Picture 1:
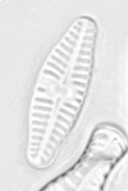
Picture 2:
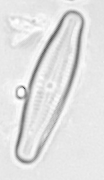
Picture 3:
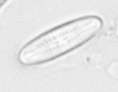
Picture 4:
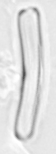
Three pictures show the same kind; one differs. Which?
Picture 1: Planothidium, while the others are Achnanthidium.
